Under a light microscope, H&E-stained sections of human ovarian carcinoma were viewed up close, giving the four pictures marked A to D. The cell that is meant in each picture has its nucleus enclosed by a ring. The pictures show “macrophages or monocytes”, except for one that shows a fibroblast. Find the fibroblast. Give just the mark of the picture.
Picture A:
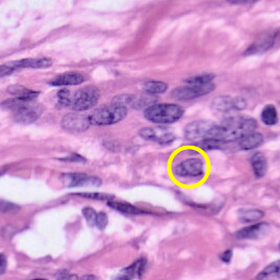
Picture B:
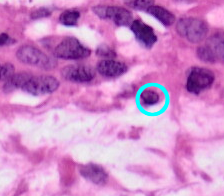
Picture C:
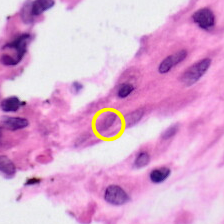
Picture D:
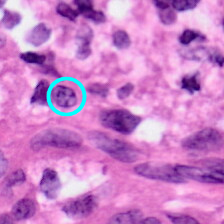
C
